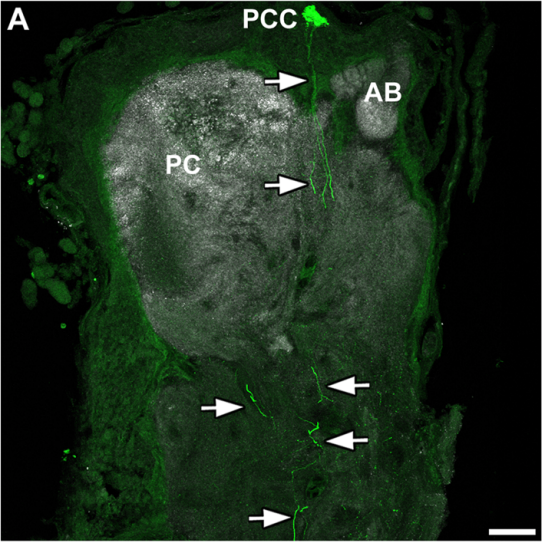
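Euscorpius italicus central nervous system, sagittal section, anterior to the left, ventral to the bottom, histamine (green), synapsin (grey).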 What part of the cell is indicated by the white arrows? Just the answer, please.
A: Projections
